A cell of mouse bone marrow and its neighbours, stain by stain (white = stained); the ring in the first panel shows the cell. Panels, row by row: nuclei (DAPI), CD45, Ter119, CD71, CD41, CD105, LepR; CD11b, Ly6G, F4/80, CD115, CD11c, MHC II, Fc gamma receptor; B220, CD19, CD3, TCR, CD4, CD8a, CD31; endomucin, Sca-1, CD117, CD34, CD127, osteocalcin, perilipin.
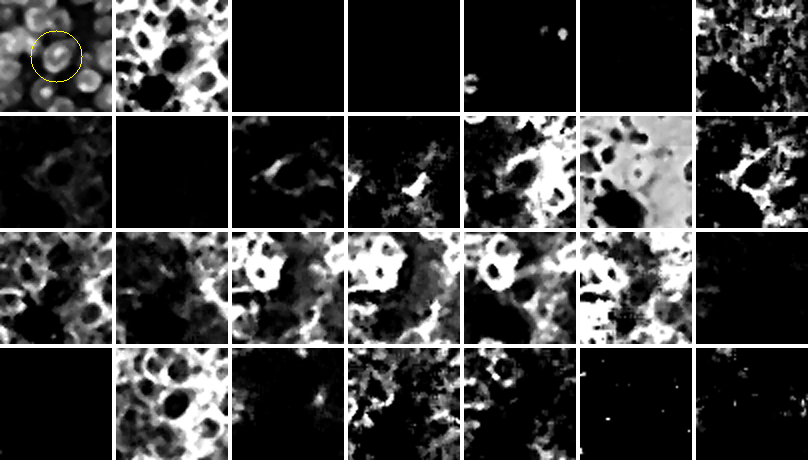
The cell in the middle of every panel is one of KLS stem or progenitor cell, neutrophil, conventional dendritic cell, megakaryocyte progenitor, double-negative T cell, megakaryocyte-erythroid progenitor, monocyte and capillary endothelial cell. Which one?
conventional dendritic cell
